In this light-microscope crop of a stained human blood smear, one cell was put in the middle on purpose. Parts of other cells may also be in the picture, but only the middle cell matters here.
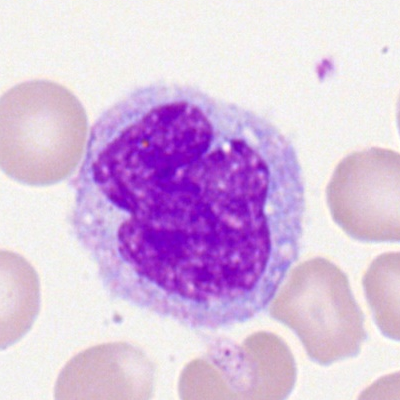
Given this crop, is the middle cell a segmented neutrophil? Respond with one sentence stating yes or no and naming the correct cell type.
No, the cell in the middle of the crop counts as a monocyte and not as a segmented neutrophil.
